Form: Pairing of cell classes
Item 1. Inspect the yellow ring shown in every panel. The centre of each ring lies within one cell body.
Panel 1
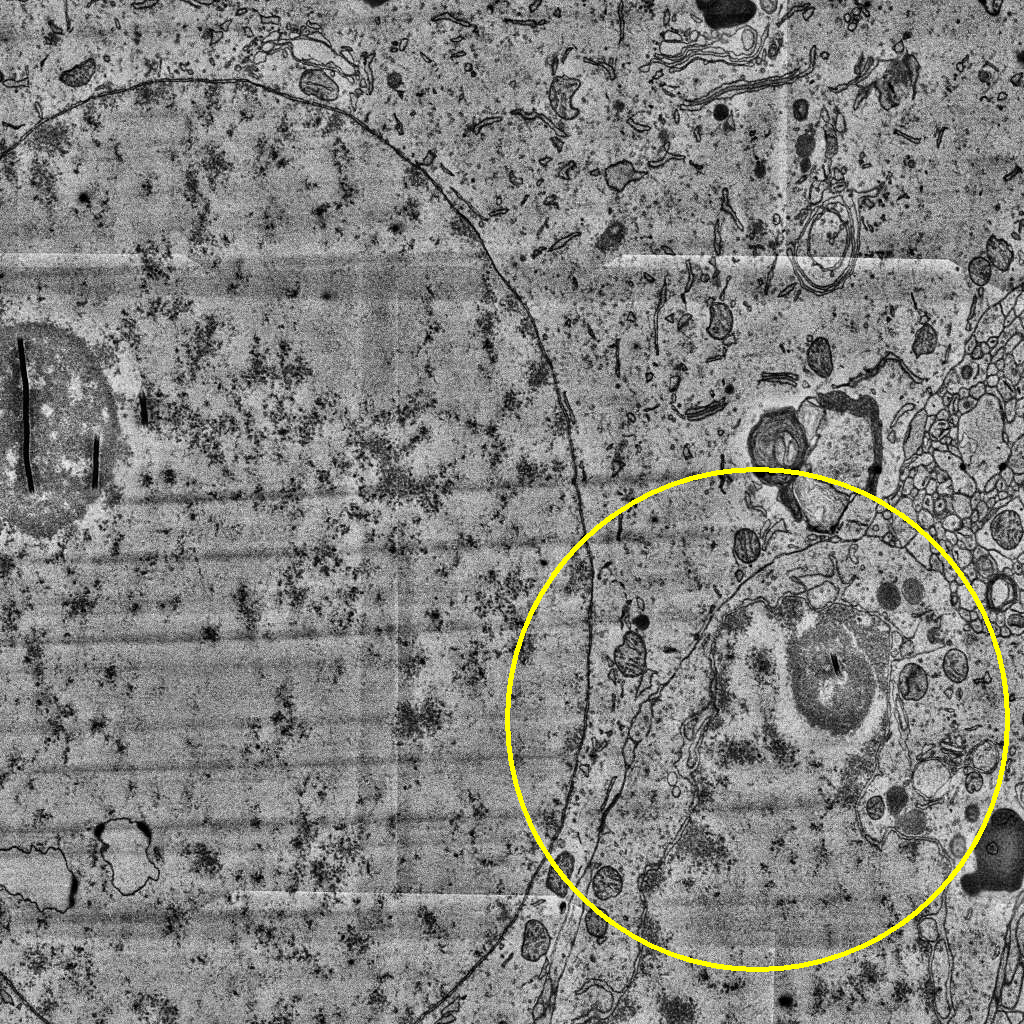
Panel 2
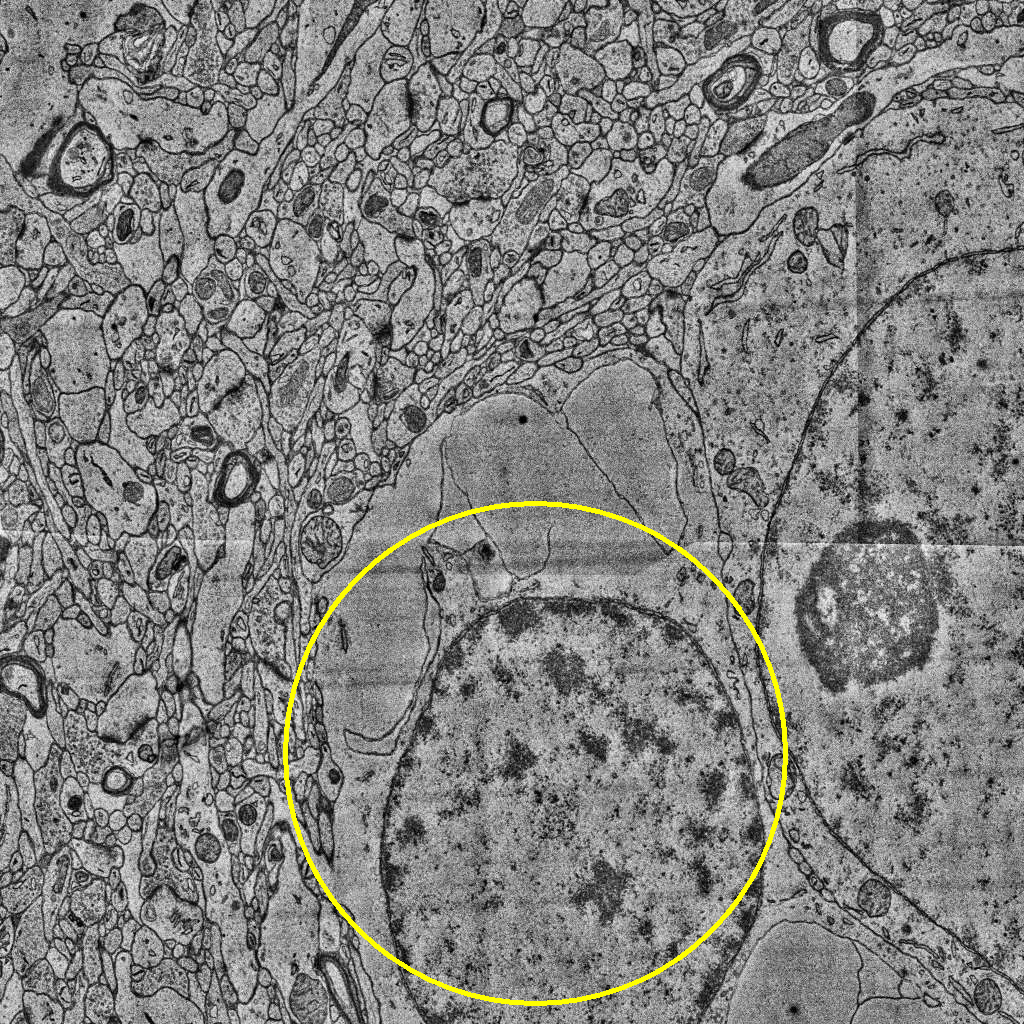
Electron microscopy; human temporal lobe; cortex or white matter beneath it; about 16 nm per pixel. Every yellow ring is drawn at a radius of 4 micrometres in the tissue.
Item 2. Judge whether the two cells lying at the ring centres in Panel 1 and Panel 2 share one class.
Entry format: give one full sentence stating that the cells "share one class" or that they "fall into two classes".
The cells at the ring centres in Panel 1 and Panel 2 fall into two classes.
